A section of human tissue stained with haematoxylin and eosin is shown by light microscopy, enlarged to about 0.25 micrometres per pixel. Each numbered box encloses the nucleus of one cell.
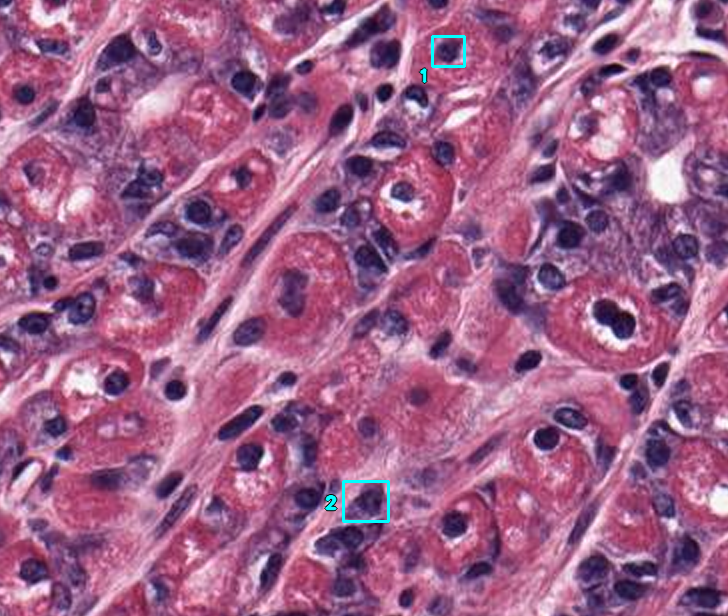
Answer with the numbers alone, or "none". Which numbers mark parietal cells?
1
